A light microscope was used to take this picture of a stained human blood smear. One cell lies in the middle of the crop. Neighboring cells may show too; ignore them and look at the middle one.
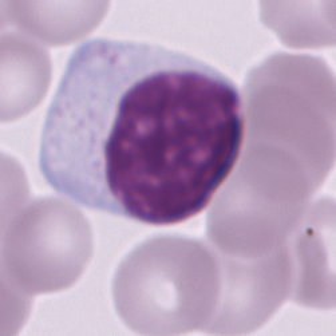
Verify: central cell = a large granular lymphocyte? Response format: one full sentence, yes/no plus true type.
Yes, the cell here in the middle is a large granular lymphocyte.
